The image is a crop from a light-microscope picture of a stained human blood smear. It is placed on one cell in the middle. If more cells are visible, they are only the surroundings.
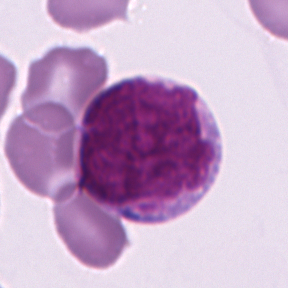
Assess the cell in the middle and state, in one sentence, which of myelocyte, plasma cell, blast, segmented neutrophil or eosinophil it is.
Within this crop, a blast occupies the central position.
